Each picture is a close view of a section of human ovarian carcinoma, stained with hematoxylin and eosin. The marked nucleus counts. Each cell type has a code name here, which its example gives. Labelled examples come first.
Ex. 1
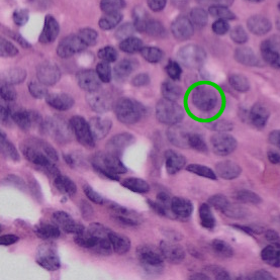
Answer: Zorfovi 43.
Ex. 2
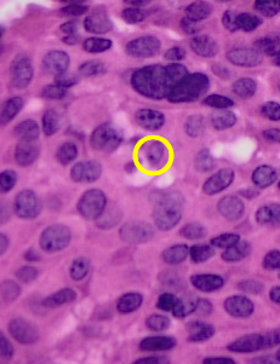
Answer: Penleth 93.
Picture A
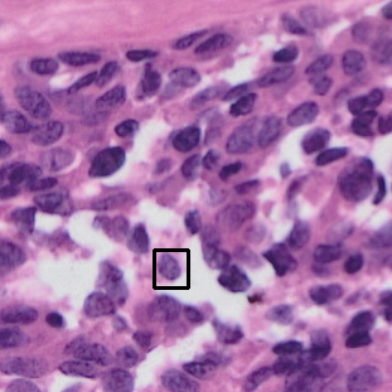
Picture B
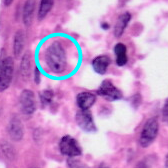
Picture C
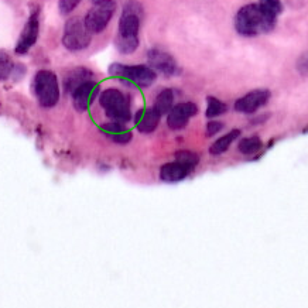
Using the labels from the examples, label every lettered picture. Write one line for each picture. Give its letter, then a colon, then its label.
A: Penleth 93.
B: Penleth 93.
C: Zorfovi 43.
